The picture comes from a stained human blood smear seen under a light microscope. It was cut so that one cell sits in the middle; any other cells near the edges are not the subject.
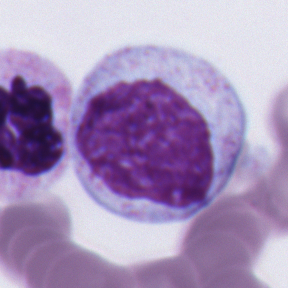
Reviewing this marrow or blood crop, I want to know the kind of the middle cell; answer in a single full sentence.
The cell of interest, located centrally, is a myelocyte.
